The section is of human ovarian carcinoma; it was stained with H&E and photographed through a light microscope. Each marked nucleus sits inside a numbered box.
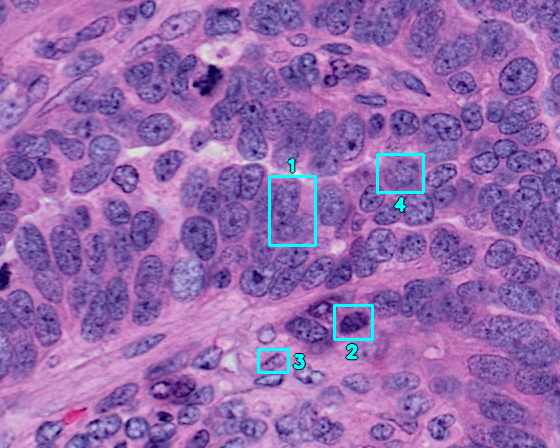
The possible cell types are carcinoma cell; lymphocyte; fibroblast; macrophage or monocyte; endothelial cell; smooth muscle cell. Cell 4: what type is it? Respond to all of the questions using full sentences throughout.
In this section, the cell tagged 4 is a carcinoma cell.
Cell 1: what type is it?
The cell whose nucleus carries the number 1 is a carcinoma cell.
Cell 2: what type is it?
In the tissue shown, cell 2 is a carcinoma cell.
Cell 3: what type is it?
The cell referenced by the number 3 is a fibroblast in this field.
